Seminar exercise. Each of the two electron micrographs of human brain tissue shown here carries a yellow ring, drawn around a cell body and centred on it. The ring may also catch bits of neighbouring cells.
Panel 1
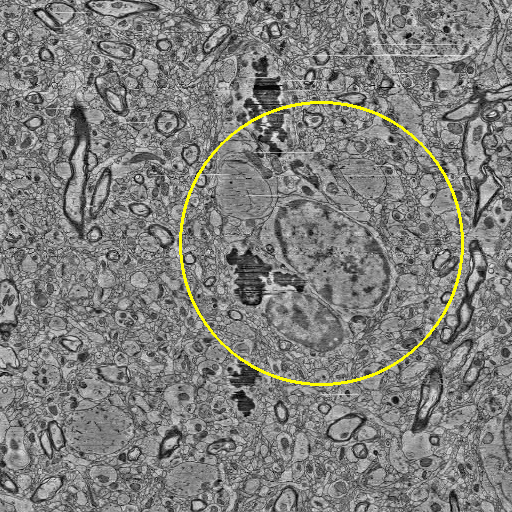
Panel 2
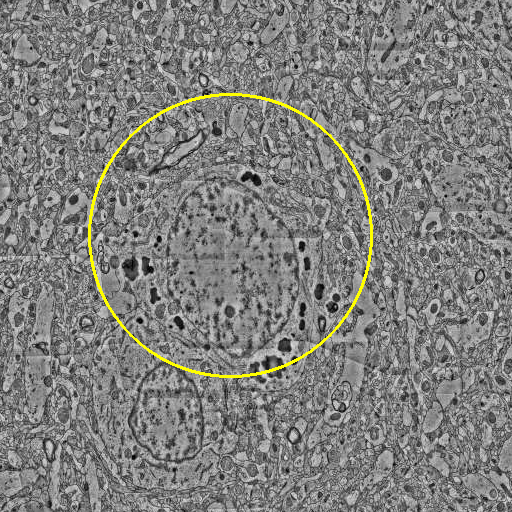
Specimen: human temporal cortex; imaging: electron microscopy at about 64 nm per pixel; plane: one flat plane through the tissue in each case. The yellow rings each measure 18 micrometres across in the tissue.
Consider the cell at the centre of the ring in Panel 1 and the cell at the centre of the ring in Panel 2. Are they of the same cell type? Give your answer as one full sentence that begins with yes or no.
No, the two cells are of two types.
